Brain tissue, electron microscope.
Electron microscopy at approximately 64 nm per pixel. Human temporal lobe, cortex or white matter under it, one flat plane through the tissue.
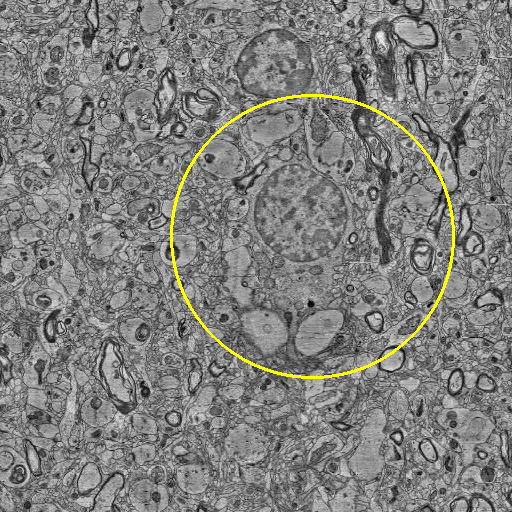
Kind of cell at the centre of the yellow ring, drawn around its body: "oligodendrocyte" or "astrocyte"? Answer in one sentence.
The ring's centre falls on an oligodendrocyte.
